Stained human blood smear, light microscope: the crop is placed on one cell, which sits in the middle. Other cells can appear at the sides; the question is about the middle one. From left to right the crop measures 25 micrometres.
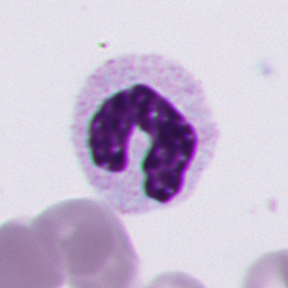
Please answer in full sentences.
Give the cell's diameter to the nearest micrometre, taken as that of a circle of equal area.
About 13 micrometres: that is the cell's diameter.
